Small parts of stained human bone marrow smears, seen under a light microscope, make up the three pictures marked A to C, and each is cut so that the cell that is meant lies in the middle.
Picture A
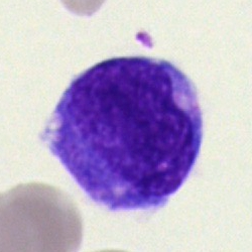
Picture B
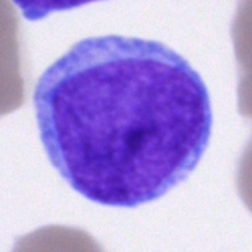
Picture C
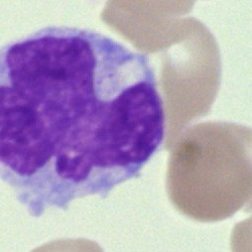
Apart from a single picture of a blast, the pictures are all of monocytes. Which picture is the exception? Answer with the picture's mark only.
B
